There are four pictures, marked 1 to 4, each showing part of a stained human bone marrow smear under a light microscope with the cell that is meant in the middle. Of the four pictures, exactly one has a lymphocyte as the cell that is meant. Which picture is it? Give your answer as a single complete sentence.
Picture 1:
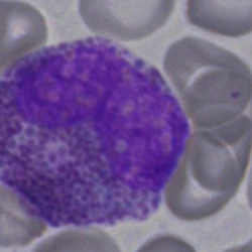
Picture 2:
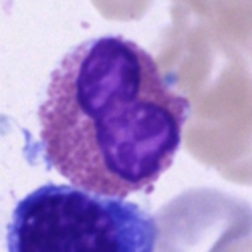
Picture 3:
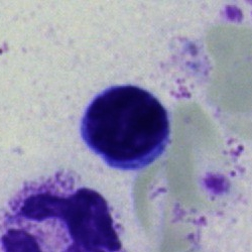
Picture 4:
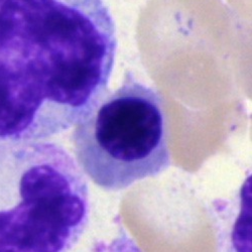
It is picture 3 that shows the lymphocyte.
